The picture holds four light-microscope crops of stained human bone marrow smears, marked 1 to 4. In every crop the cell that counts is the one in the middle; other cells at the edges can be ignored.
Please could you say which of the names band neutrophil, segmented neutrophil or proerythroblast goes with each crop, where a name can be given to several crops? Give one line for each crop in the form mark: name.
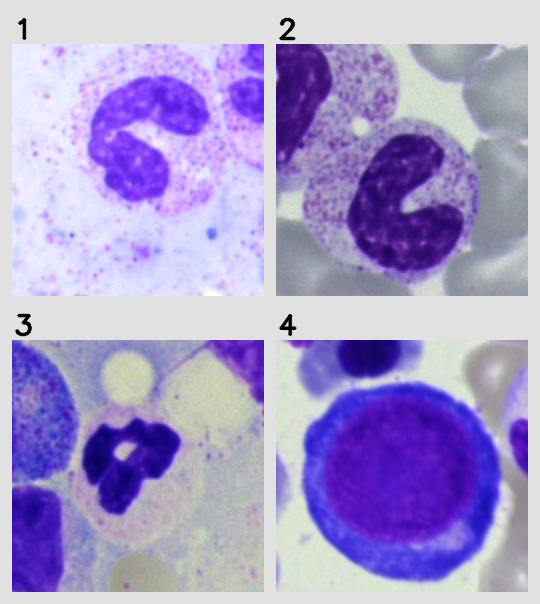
1: band neutrophil
2: band neutrophil
3: segmented neutrophil
4: proerythroblast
